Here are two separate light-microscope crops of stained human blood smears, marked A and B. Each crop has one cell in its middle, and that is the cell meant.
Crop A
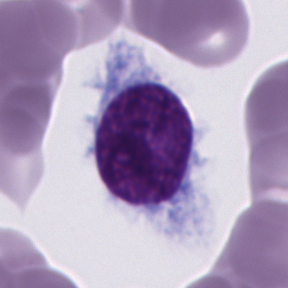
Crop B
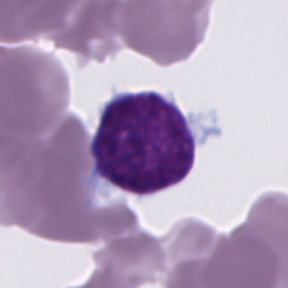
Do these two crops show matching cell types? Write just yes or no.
yes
